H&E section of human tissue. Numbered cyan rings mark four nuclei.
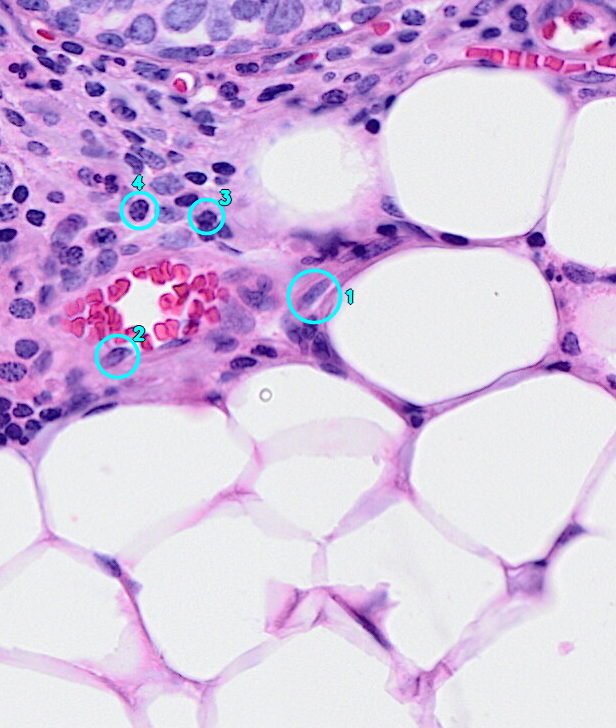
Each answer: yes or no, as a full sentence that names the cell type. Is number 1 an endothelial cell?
Yes, that one, number 1, is an endothelial cell.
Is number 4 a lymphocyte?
Yes. The cell carrying number 4 is a lymphocyte.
